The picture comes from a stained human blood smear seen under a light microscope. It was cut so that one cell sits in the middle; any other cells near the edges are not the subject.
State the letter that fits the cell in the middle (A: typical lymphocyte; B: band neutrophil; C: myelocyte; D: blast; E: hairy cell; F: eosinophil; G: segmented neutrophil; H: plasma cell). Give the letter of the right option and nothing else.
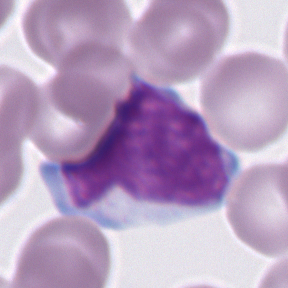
A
